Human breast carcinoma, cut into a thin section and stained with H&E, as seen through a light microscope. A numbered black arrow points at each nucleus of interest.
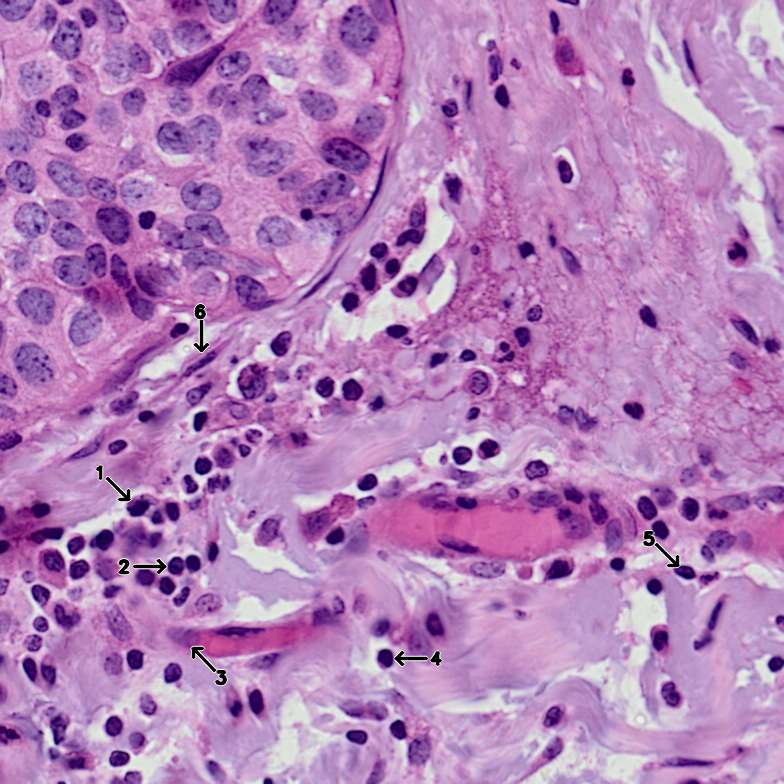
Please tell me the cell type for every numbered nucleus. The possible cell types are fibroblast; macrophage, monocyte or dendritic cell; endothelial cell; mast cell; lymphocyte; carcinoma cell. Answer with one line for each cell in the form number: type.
1: lymphocyte
2: lymphocyte
3: endothelial cell
4: lymphocyte
5: lymphocyte
6: fibroblast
